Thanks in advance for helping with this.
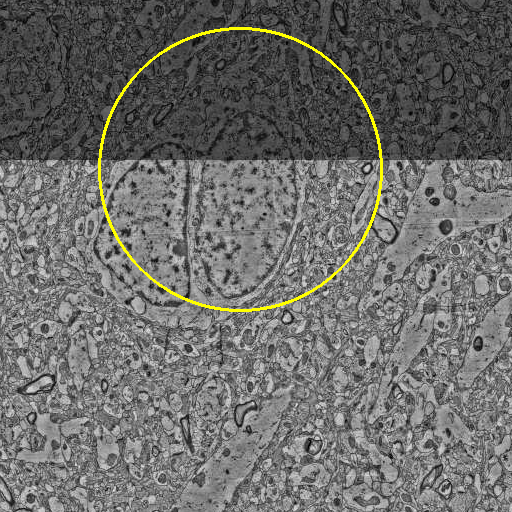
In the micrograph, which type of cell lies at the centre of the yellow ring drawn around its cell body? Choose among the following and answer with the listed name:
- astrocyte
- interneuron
interneuron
